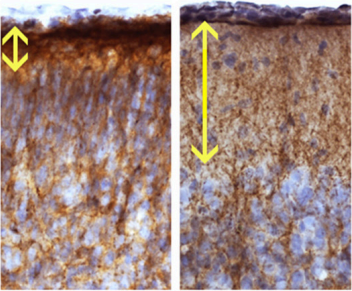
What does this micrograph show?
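Two side-by-side sections of the outer cerebral cortex, with the brain surface at the top and blue nuclei below. In the left section a thin, very dark brown band lies at the surface, marked by a short double arrow, and brown fibres run radially downward among crowded nuclei, with little layering. In the right section a broad, cell-sparse zone beneath the surface, marked by a longer double arrow, is filled with fine brown staining; below it the nuclei become densely packed, so the superficial layer is clearly set off from the cell-rich tissue beneath.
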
